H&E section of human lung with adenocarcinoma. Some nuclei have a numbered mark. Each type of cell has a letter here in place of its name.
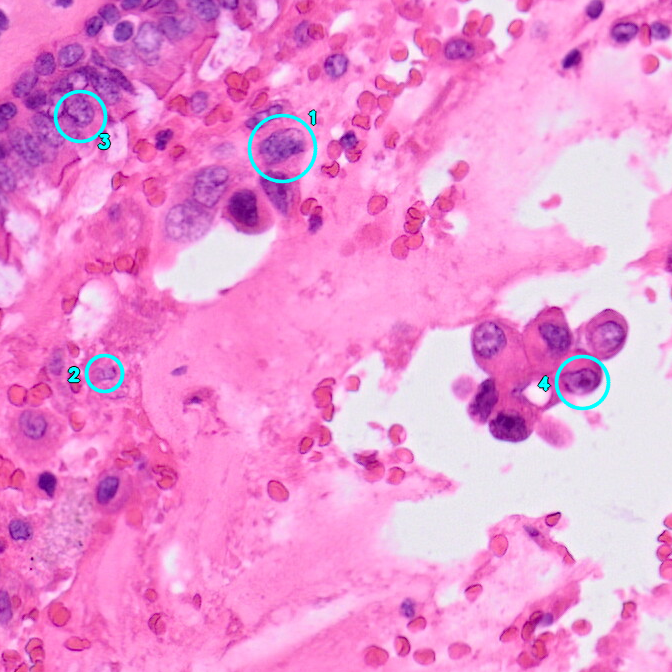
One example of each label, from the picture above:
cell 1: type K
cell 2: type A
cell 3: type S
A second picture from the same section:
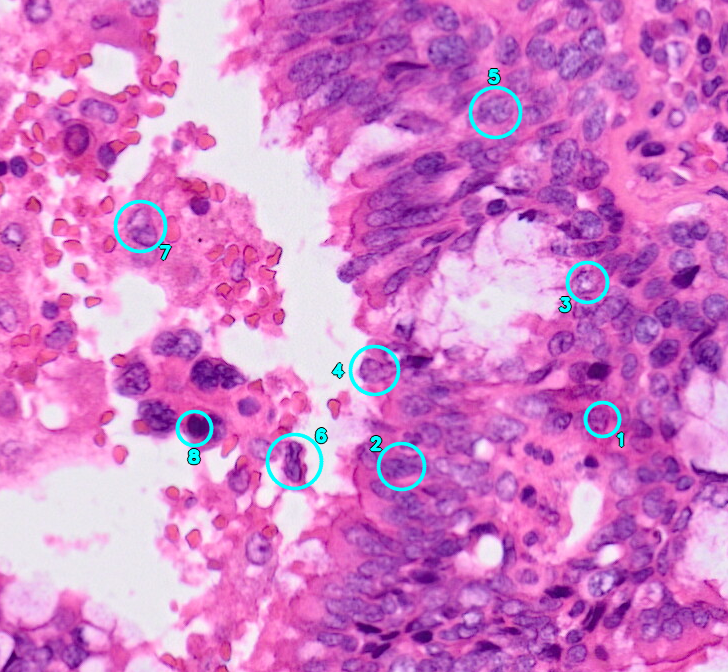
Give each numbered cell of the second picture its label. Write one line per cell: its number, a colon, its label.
1: type S
2: type S
3: type S
4: type S
5: type S
6: type A
7: type A
8: type K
